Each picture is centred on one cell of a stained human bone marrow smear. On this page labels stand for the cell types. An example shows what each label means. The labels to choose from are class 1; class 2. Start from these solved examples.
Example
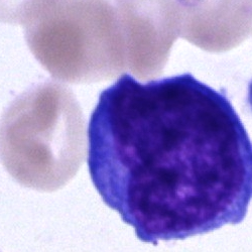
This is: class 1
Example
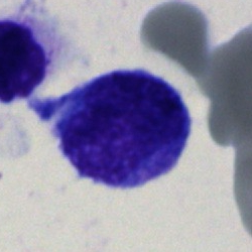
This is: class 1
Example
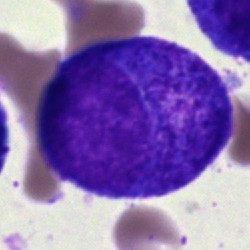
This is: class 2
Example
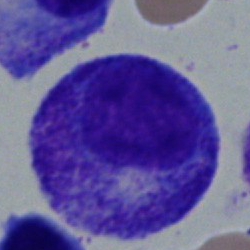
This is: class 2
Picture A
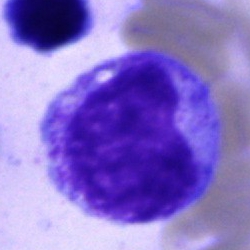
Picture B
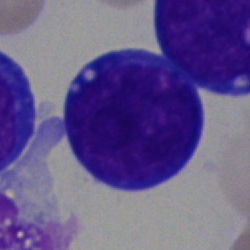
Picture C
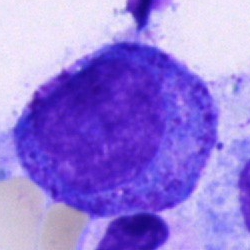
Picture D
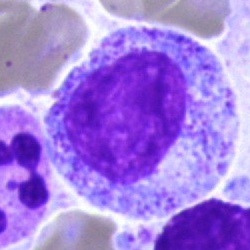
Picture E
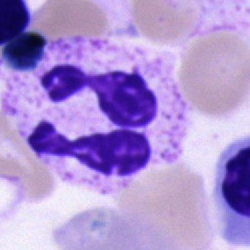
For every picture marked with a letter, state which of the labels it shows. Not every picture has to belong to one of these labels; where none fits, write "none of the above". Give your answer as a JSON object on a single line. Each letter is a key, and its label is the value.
{"A": "class 2", "B": "class 1", "C": "class 2", "D": "class 2", "E": "none of the above"}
